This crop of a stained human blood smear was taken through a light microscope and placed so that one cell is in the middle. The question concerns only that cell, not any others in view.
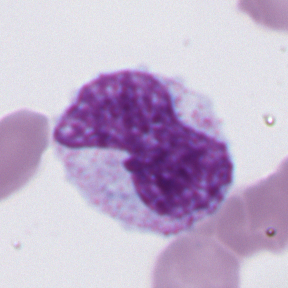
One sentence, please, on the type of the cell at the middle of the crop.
At the crop's centre, the cell is a band neutrophil.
